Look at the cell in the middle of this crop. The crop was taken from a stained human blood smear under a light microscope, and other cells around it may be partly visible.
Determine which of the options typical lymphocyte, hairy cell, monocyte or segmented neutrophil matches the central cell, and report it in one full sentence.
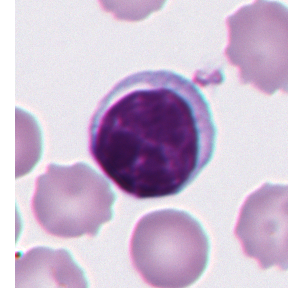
In this smear crop, the middle cell is a typical lymphocyte.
